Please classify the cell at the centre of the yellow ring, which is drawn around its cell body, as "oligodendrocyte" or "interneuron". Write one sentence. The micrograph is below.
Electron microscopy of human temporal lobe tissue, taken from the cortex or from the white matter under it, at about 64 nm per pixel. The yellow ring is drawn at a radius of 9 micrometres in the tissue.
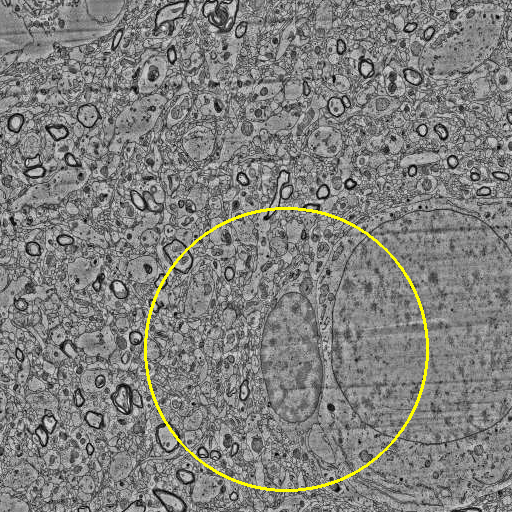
The cell at the ring's centre is classified as an oligodendrocyte.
